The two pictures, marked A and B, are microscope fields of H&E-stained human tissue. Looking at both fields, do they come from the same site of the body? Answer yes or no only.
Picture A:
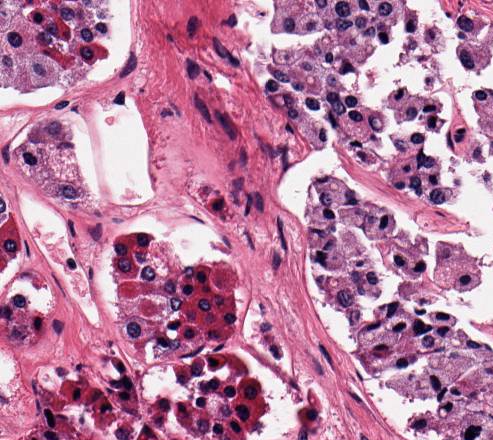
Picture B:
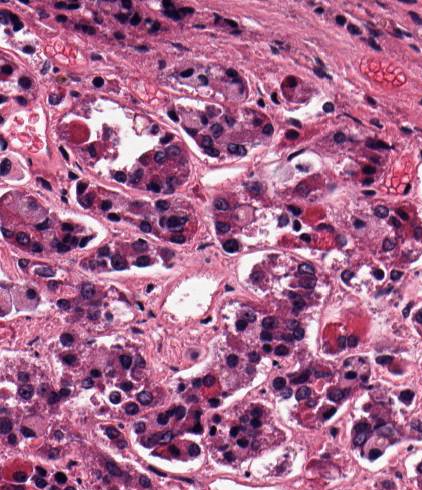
yes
